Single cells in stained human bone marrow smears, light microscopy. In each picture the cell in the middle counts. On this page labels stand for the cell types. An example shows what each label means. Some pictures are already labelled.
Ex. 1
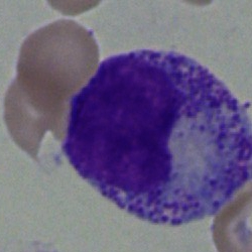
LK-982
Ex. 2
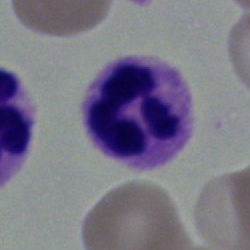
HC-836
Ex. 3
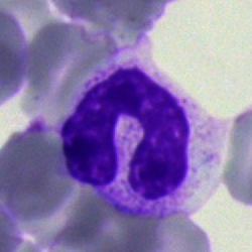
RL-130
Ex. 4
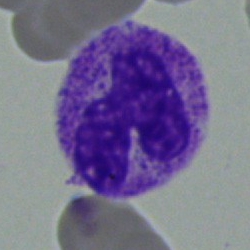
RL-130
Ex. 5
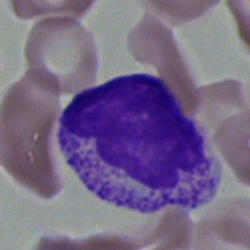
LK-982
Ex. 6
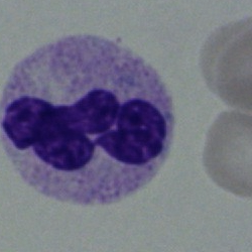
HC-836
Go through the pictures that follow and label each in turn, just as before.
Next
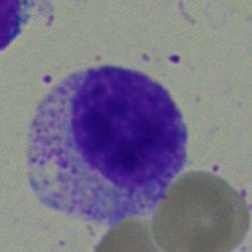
LK-982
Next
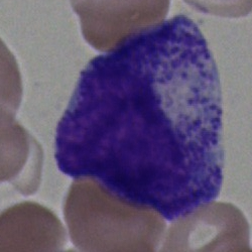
LK-982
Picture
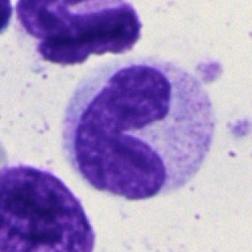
RL-130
